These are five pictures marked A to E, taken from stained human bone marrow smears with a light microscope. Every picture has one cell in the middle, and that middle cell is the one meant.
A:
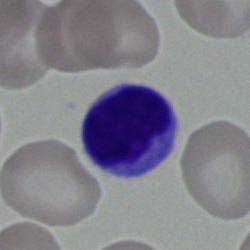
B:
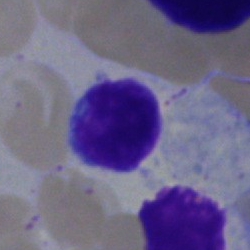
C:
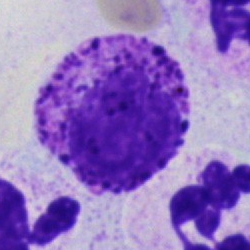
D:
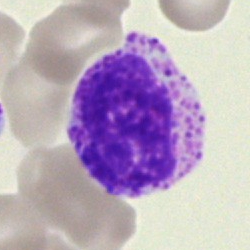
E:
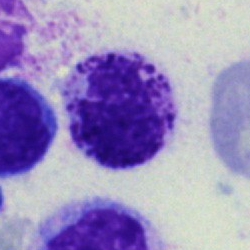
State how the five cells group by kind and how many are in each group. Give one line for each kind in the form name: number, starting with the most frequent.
basophil: 3
lymphocyte: 2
